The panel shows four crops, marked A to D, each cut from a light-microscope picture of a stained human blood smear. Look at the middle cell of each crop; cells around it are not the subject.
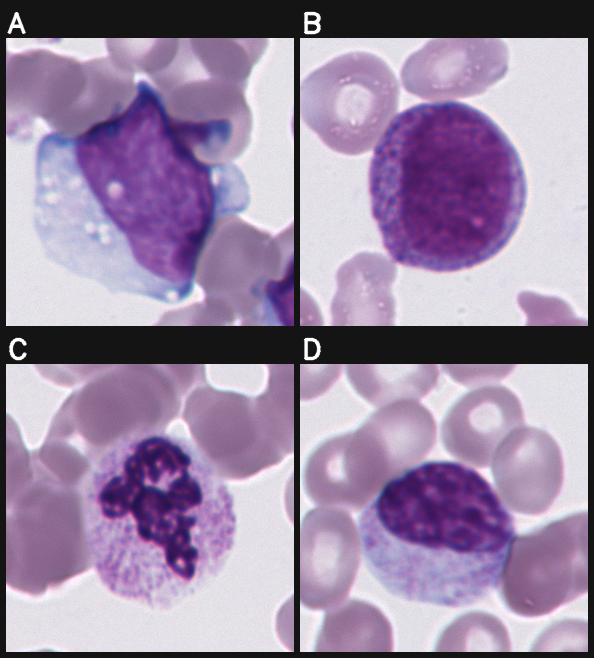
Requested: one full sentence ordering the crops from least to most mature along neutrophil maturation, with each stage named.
From the least mature to the most mature, the order reads crop A (a blast), crop B (a promyelocyte), crop D (a metamyelocyte) and crop C (a segmented neutrophil).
